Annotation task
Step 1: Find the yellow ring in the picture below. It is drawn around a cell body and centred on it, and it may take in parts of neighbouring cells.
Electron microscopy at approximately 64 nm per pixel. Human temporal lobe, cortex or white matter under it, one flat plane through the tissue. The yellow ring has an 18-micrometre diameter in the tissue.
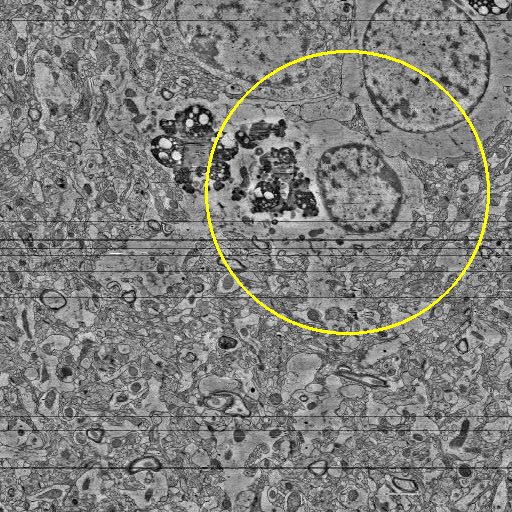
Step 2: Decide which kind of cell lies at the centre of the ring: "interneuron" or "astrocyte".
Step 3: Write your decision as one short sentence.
The kind of cell at the ring's centre is an astrocyte.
